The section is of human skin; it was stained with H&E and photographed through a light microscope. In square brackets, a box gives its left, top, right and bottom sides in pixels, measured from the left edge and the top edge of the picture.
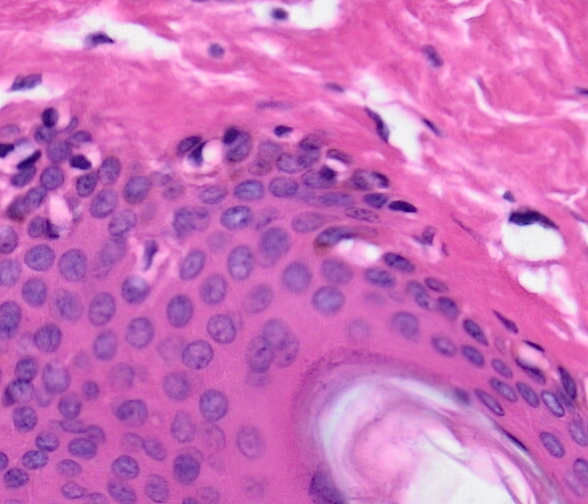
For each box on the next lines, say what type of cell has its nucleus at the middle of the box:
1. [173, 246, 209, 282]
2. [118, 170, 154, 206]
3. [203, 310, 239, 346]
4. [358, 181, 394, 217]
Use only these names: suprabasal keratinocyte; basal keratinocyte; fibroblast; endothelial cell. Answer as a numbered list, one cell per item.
1. suprabasal keratinocyte
2. basal keratinocyte
3. suprabasal keratinocyte
4. basal keratinocyte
